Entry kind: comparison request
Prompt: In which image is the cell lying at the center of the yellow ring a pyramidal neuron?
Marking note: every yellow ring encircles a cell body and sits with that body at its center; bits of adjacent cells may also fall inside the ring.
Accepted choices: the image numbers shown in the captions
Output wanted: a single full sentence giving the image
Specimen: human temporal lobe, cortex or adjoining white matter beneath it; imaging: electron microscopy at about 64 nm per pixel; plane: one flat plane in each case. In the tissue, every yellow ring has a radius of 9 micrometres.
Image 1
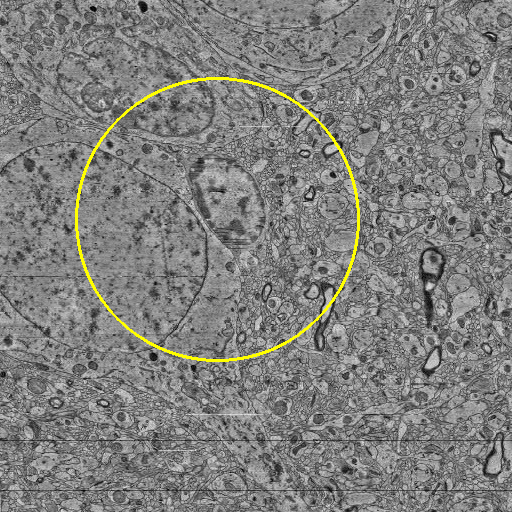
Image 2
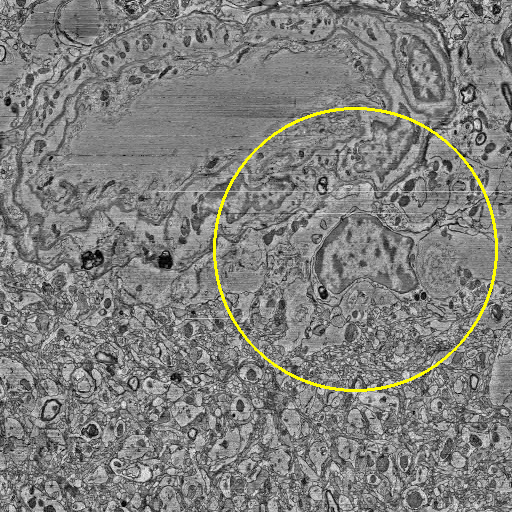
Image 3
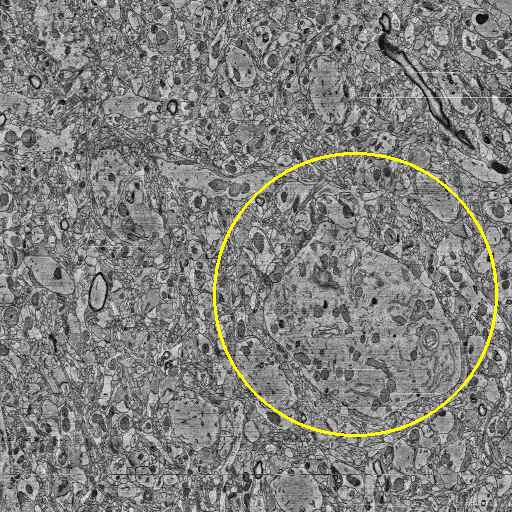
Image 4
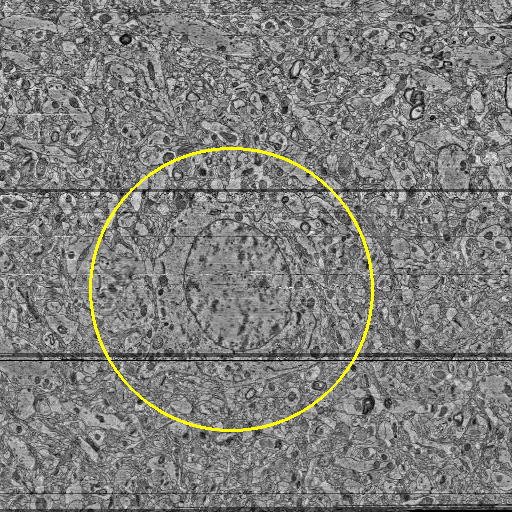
In image 4, the ringed cell at the center matches the prompt.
